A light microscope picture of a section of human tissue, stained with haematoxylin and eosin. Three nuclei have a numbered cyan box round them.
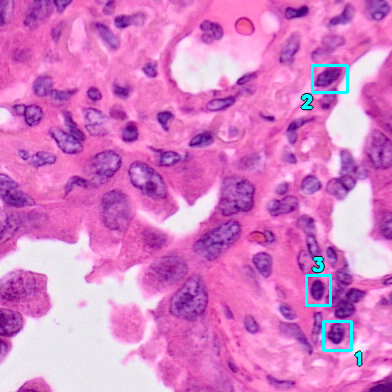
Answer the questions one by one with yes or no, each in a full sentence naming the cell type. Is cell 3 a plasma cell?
No, cell 3 is to be classed as a lymphocyte, not a plasma cell.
